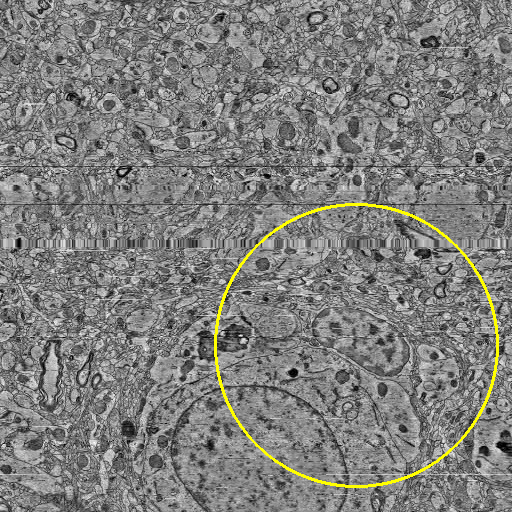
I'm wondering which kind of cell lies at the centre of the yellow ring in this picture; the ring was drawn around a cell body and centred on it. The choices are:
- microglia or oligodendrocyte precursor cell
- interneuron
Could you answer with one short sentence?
At the centre of the ring lies a microglial cell or oligodendrocyte precursor cell.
